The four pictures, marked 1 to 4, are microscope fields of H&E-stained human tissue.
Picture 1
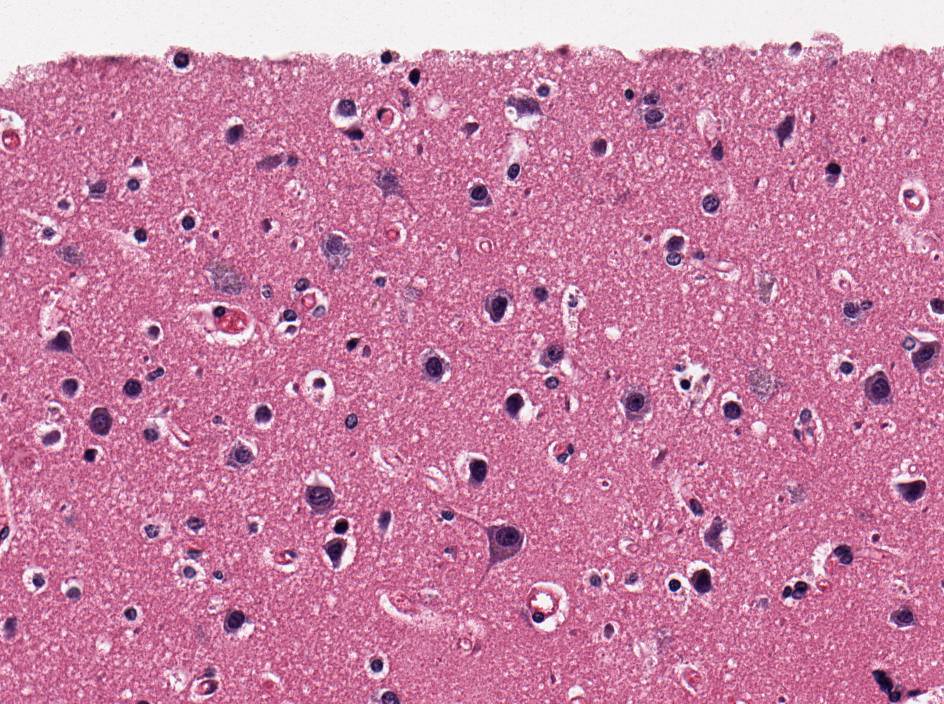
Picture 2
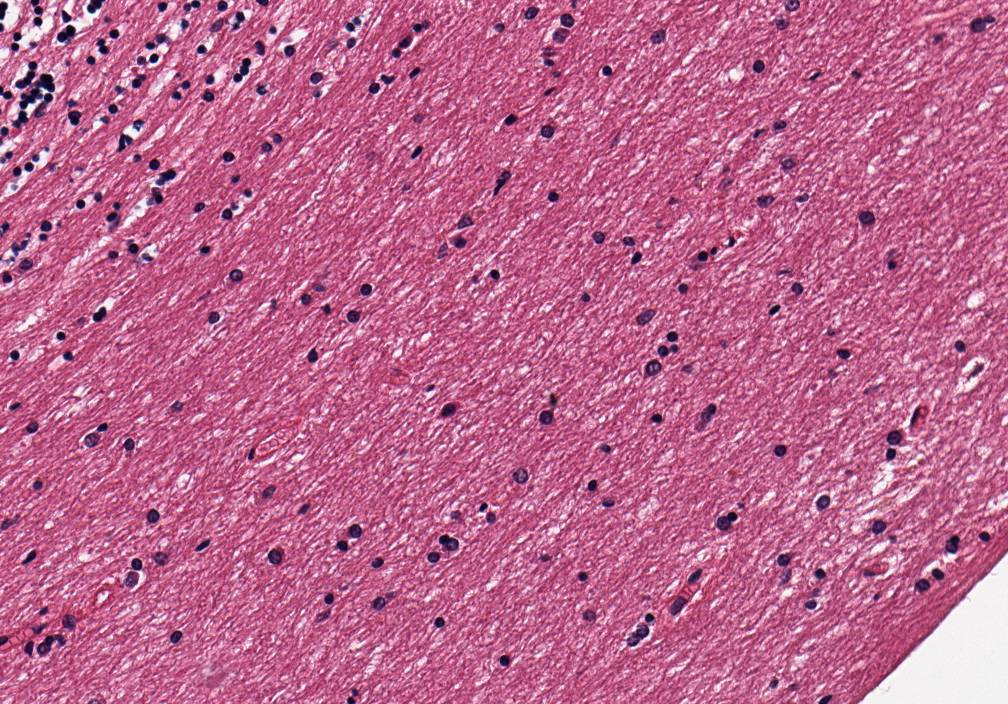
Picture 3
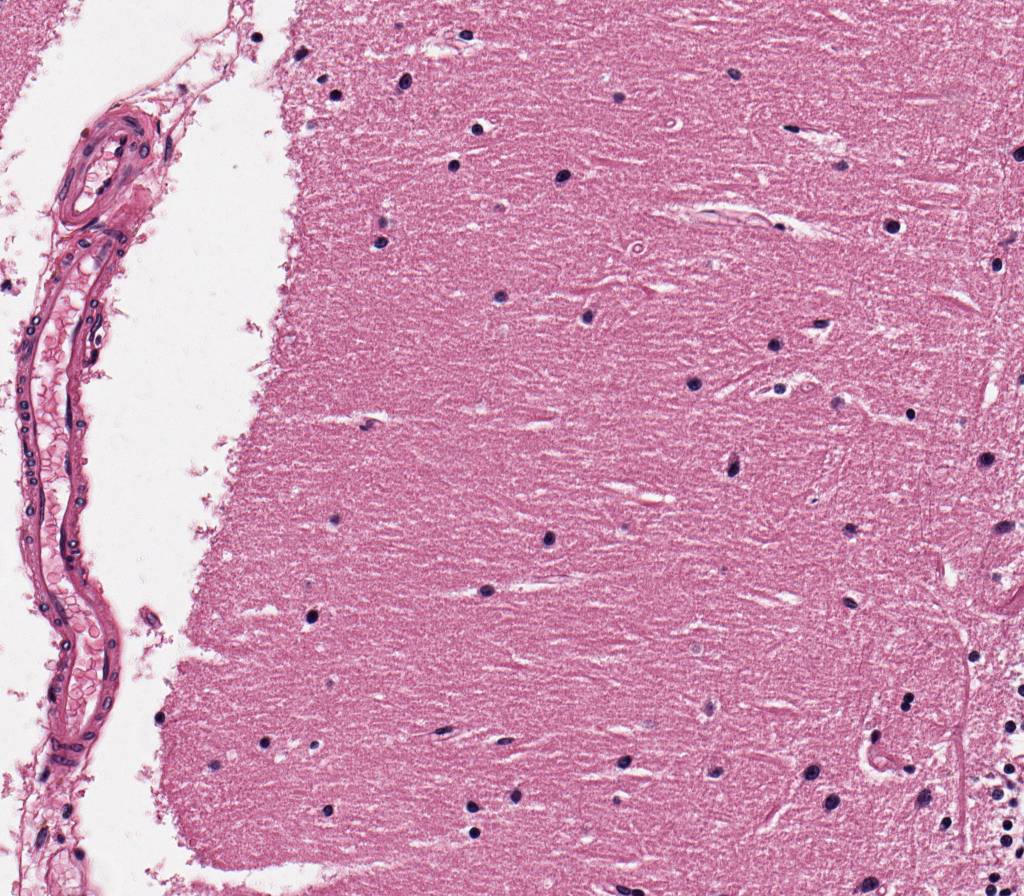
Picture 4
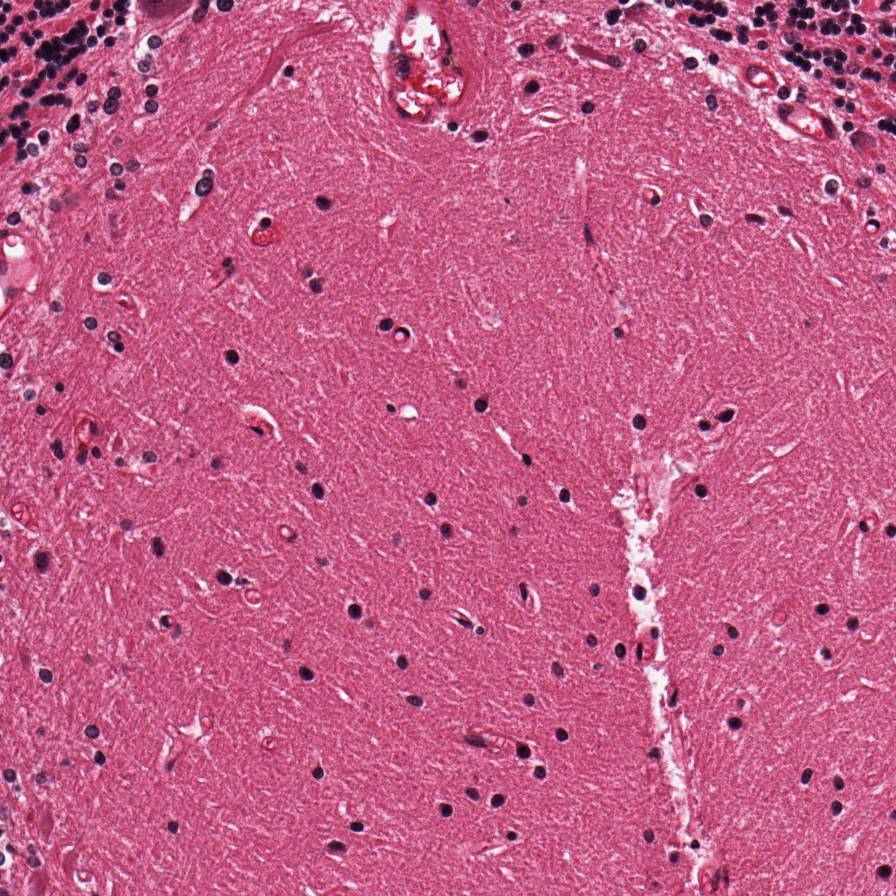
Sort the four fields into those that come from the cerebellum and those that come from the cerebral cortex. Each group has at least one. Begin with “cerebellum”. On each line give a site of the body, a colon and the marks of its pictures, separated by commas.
cerebellum: 2, 3, 4
cerebral cortex: 1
